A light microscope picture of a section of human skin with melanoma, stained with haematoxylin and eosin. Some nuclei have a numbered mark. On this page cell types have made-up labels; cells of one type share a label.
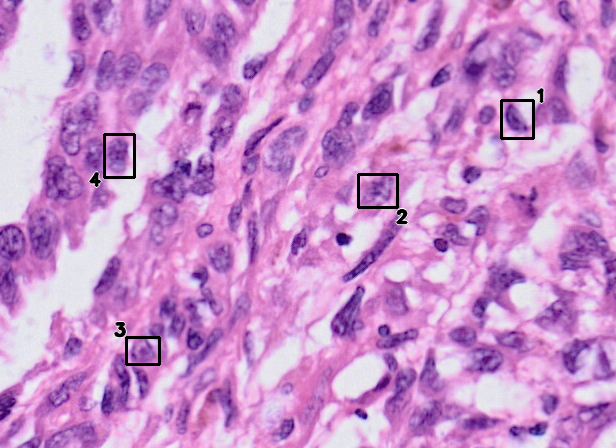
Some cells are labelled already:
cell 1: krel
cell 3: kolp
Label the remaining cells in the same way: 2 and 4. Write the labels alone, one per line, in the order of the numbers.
kolp
kolp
